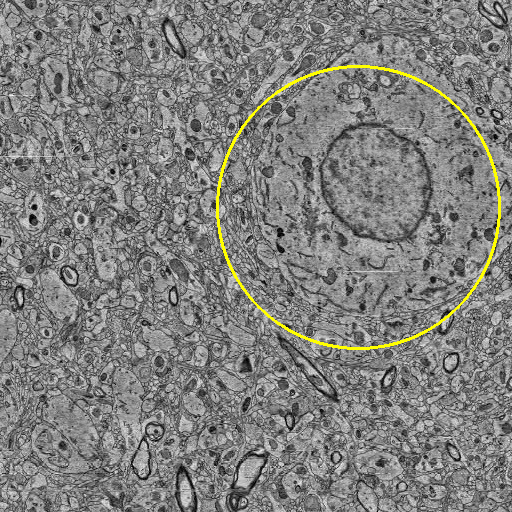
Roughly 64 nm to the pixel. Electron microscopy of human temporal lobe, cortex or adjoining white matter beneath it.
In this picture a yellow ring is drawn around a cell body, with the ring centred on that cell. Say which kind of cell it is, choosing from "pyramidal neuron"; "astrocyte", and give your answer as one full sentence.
Here it is a pyramidal neuron that sits at the centre of the drawn yellow ring.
